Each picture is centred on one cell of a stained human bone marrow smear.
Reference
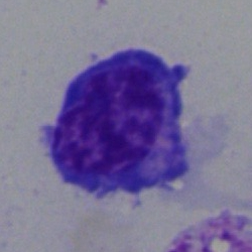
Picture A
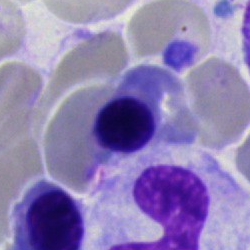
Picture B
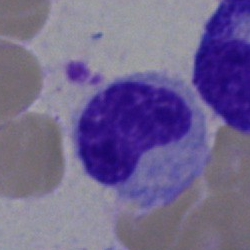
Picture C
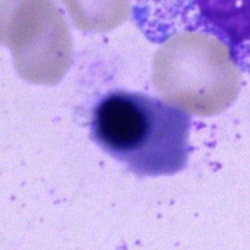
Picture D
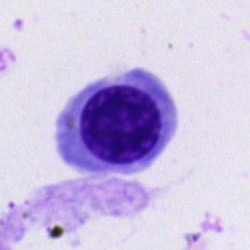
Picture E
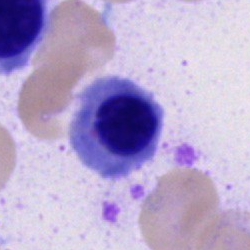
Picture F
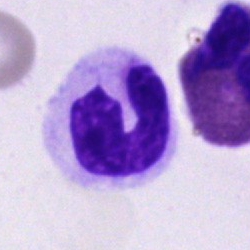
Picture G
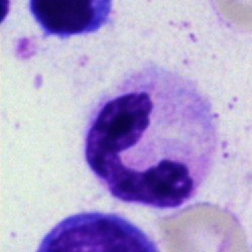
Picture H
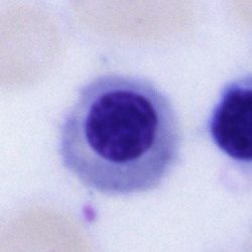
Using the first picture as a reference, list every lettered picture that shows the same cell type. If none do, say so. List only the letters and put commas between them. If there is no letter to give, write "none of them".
A, C, D, E, H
